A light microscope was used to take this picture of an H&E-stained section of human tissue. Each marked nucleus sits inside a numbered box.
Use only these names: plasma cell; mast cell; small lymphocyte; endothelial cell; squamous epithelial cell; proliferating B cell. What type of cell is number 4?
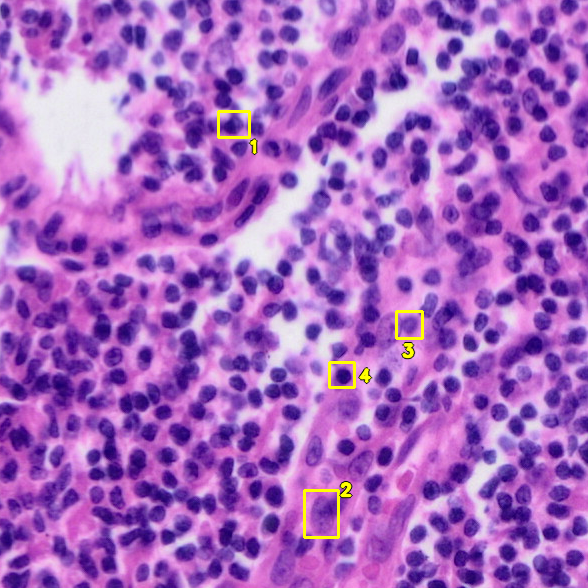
endothelial cell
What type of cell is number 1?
small lymphocyte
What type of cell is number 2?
endothelial cell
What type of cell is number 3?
endothelial cell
